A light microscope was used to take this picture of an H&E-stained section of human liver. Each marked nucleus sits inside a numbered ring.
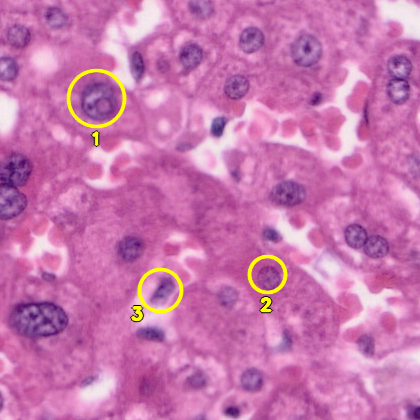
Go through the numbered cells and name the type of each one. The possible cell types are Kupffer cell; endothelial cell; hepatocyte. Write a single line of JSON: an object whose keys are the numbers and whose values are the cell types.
{"1": "hepatocyte", "2": "hepatocyte", "3": "Kupffer cell"}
